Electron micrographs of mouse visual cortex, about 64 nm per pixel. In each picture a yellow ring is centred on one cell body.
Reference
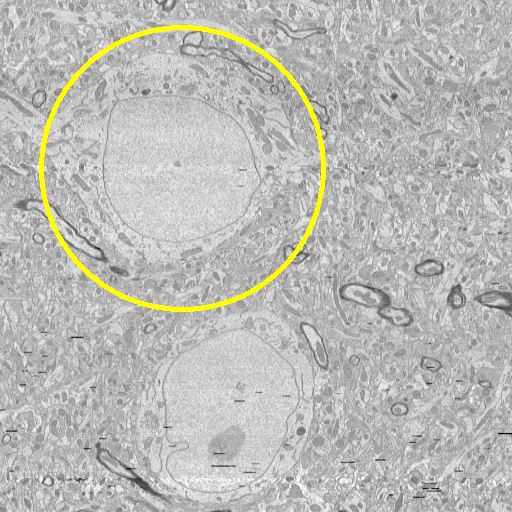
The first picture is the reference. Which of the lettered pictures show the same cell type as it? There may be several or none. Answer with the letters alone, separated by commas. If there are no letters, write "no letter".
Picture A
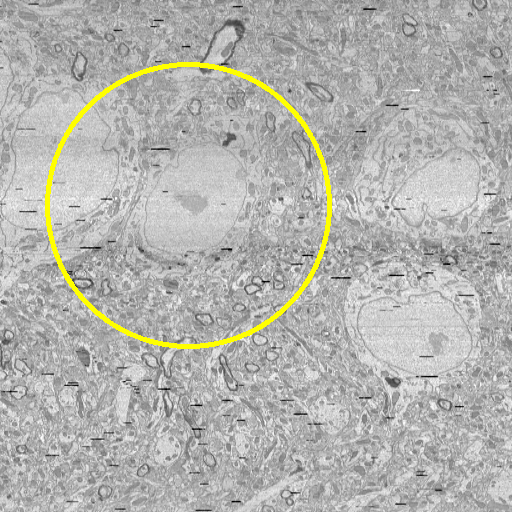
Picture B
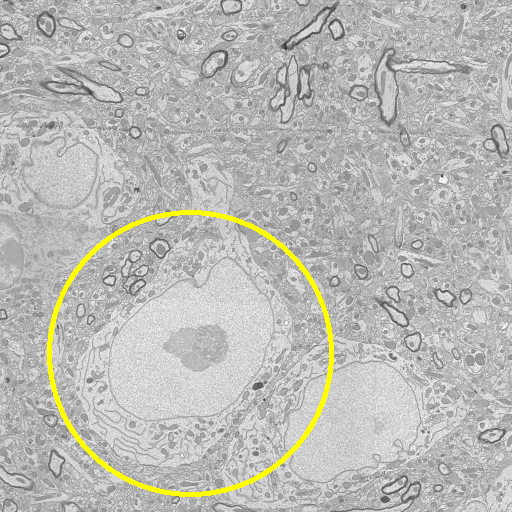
A, B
